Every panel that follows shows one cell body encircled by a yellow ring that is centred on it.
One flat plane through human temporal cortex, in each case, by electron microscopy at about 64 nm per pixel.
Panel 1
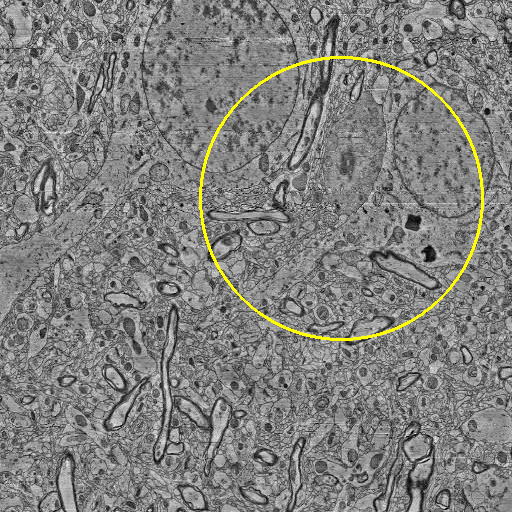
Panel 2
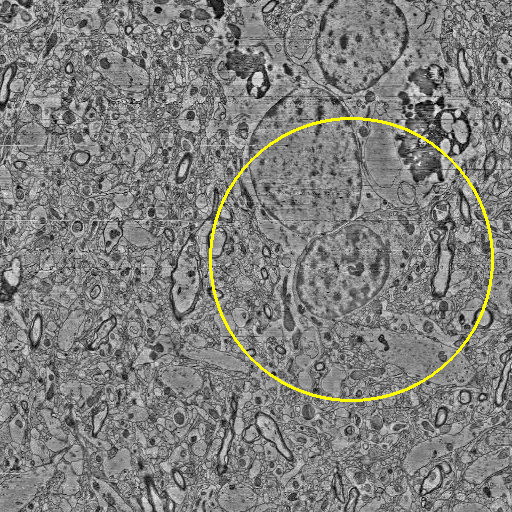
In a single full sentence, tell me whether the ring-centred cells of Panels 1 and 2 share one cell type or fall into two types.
In Panel 1 and Panel 2, the cells at the ring centres share one cell type.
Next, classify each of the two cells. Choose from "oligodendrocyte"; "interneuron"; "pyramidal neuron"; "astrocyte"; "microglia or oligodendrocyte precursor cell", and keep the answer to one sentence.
In each picture the ringed cell is an oligodendrocyte.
